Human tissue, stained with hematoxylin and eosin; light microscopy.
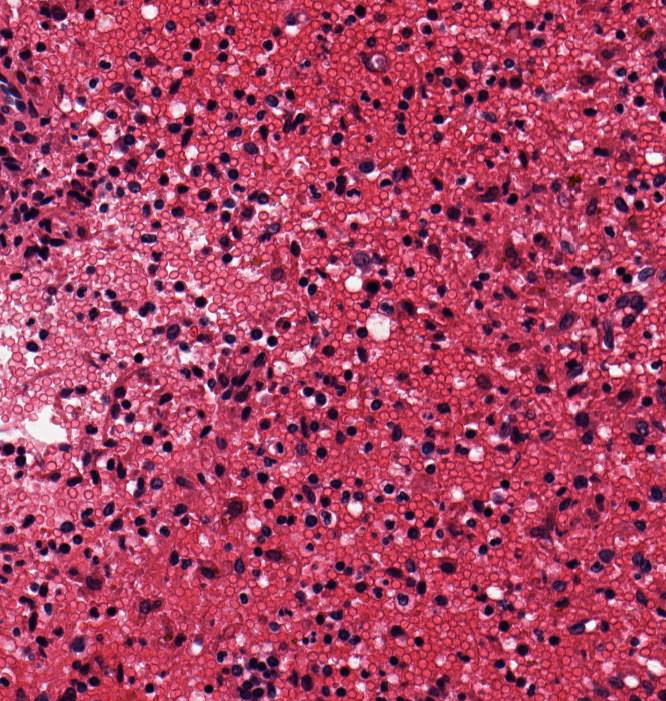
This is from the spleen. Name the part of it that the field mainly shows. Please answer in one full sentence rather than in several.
The part of tissue on this slide is termed red pulp.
